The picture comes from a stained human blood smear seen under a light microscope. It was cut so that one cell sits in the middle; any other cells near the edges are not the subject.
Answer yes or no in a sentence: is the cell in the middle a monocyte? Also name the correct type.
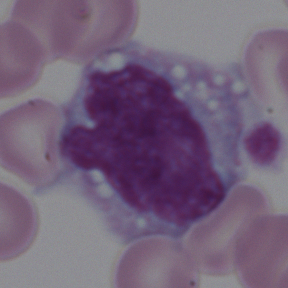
Yes, the cell placed centrally within the crop is a monocyte.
